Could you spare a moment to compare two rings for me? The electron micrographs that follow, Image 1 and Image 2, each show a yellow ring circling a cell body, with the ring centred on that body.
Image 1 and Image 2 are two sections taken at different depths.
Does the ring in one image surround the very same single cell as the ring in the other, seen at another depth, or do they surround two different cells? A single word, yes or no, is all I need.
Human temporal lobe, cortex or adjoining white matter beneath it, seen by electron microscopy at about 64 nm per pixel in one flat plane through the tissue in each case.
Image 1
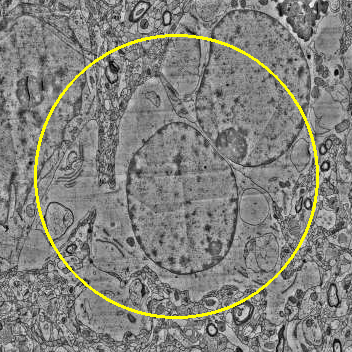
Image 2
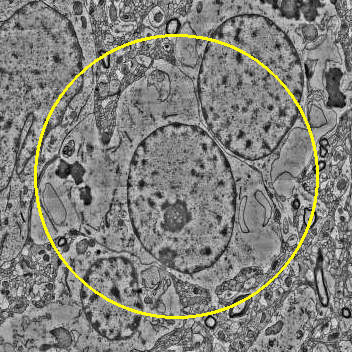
yes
